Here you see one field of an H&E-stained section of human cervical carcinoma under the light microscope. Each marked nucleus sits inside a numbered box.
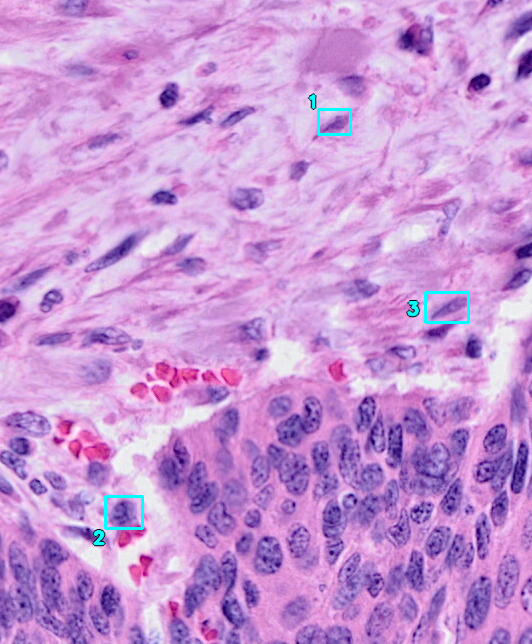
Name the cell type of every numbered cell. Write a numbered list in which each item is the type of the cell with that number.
1. fibroblast
2. endothelial cell
3. fibroblast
